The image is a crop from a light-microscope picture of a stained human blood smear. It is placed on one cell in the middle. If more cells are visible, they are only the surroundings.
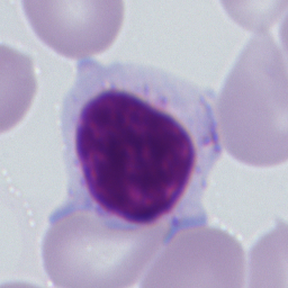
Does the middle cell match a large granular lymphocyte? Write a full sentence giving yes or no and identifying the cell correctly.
Yes, the cell in the exact middle is a large granular lymphocyte.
